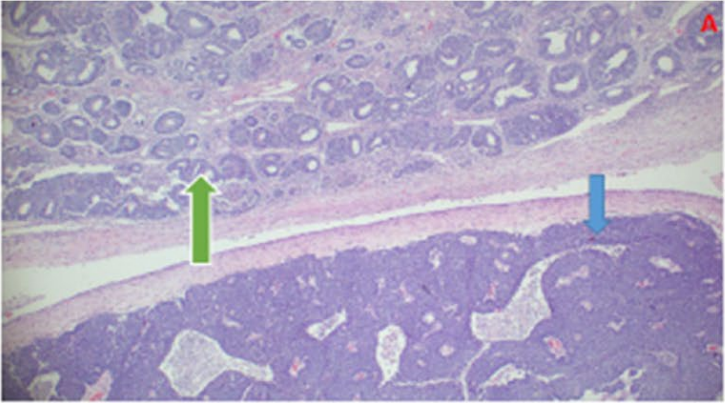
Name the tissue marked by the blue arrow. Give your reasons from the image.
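The arrow points at a broad, dense sheet of small, dark purple cells. The sheet has few lumens, only scattered vessel-like spaces.
Conclusion: blastema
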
